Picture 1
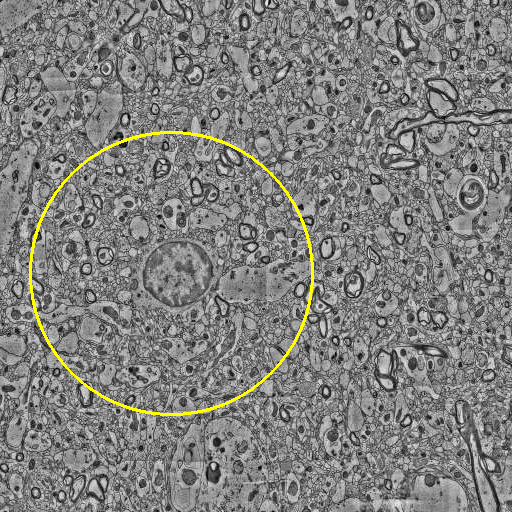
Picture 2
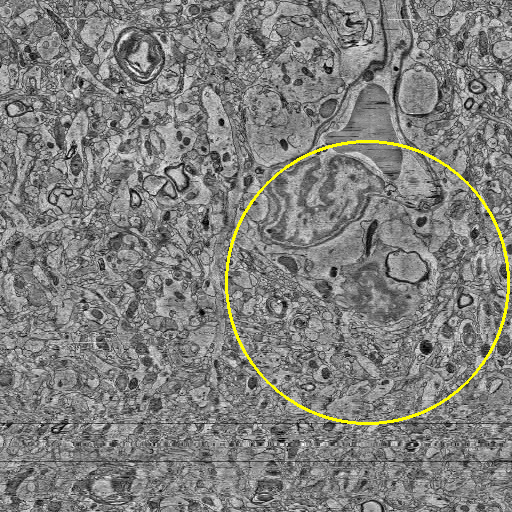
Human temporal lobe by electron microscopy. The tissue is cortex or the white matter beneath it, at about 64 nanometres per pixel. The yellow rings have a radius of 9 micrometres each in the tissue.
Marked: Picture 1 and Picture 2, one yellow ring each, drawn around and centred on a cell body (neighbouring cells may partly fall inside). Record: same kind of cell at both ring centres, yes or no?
yes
